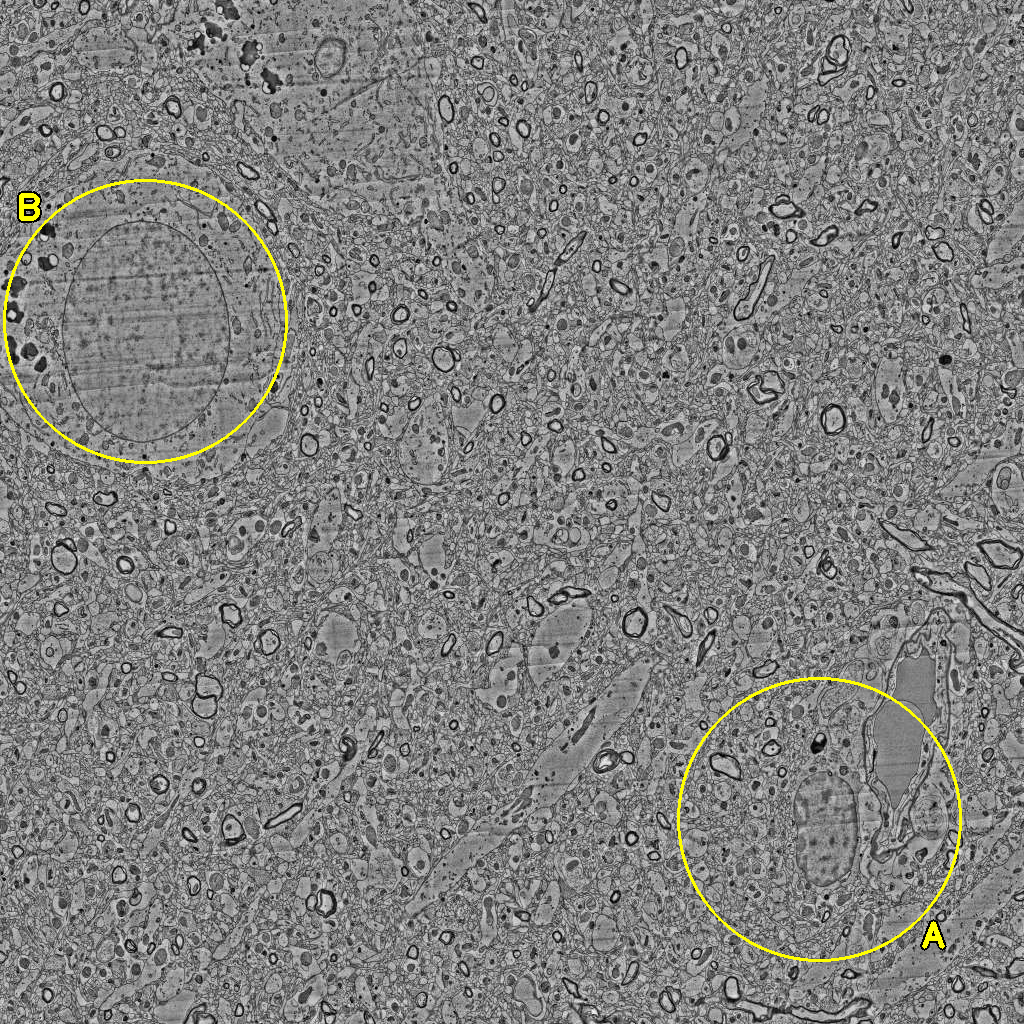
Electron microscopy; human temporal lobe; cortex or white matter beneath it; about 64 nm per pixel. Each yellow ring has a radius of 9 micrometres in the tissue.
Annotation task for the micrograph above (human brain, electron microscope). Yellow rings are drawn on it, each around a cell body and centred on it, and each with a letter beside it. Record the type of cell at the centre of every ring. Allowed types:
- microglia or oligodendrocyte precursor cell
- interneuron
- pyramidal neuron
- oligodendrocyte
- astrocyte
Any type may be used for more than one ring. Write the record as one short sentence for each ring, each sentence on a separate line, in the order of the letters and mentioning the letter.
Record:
The cell centred in ring A is an oligodendrocyte.
The cell centred in ring B is a pyramidal neuron.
